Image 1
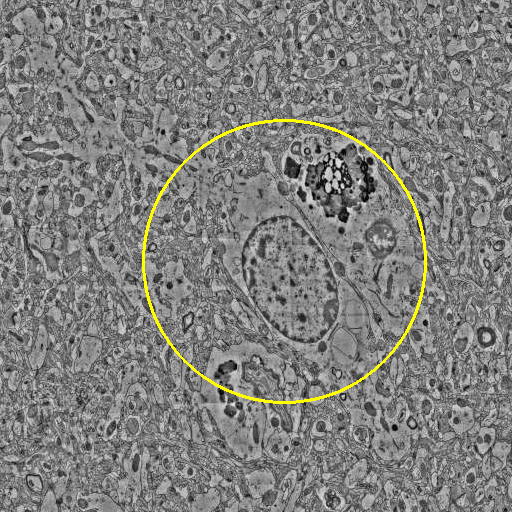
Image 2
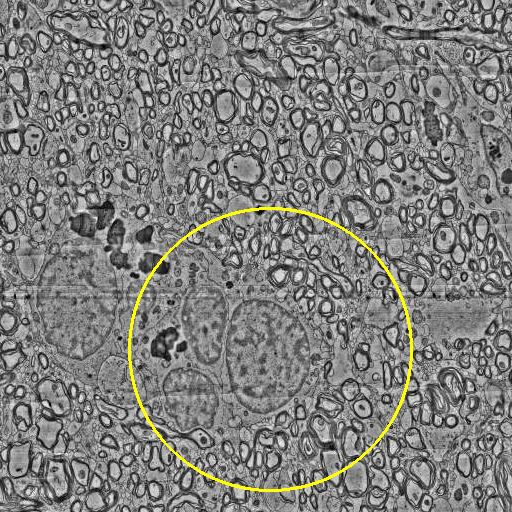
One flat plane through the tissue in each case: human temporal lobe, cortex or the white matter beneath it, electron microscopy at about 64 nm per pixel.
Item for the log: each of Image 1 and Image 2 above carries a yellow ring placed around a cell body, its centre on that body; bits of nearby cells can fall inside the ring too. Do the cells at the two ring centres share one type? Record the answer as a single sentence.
No, the two cells at the ring centres in Image 1 and Image 2 are of two types.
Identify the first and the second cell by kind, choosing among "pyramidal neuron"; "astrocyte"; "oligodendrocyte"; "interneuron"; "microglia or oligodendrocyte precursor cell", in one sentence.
The one in the first picture is an astrocyte, while the one in the second is an oligodendrocyte.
